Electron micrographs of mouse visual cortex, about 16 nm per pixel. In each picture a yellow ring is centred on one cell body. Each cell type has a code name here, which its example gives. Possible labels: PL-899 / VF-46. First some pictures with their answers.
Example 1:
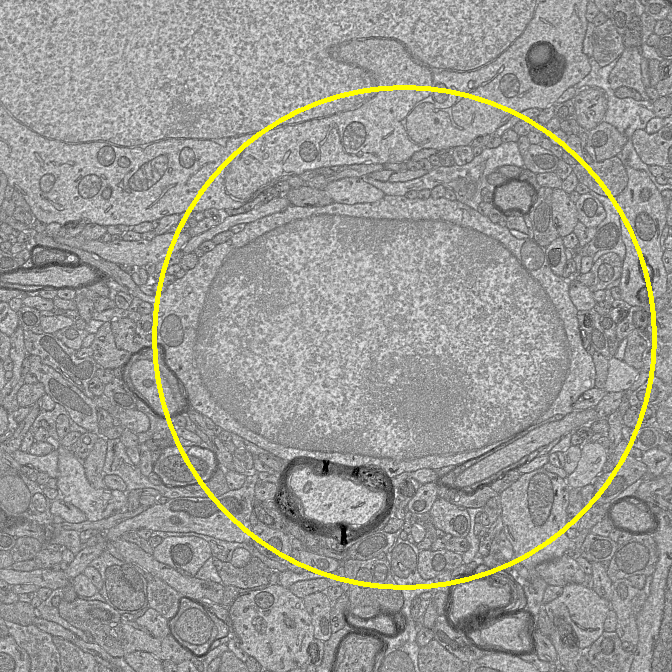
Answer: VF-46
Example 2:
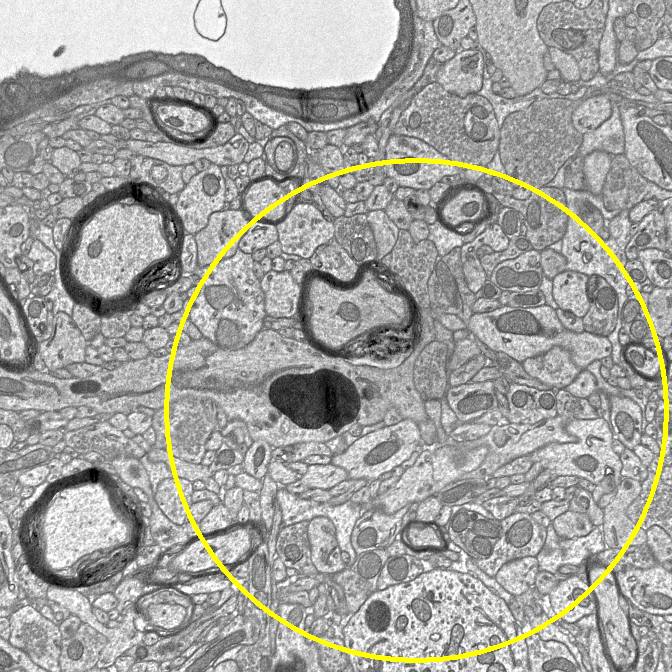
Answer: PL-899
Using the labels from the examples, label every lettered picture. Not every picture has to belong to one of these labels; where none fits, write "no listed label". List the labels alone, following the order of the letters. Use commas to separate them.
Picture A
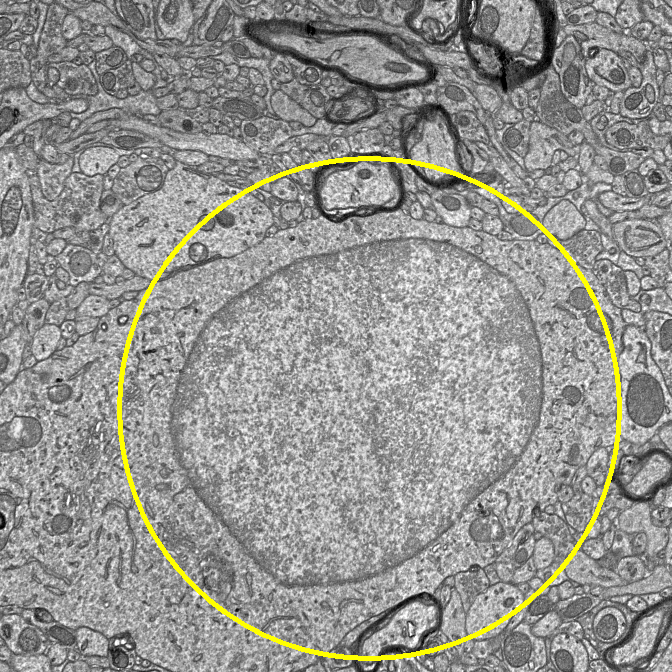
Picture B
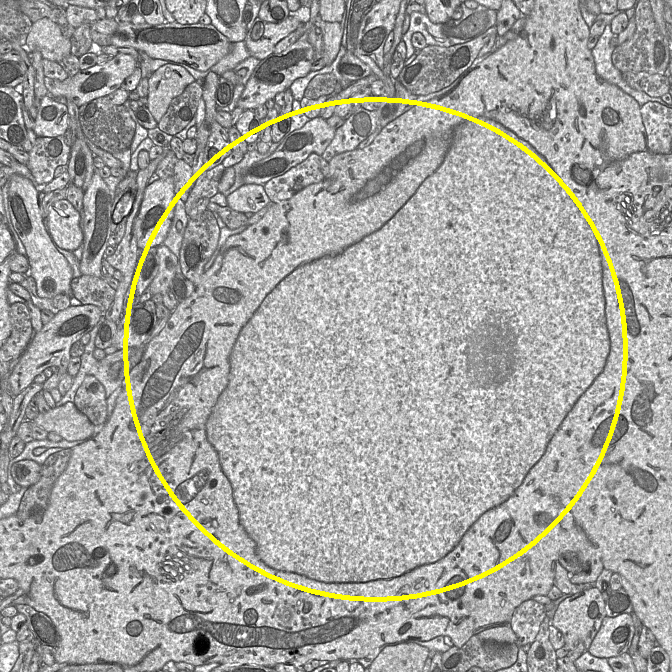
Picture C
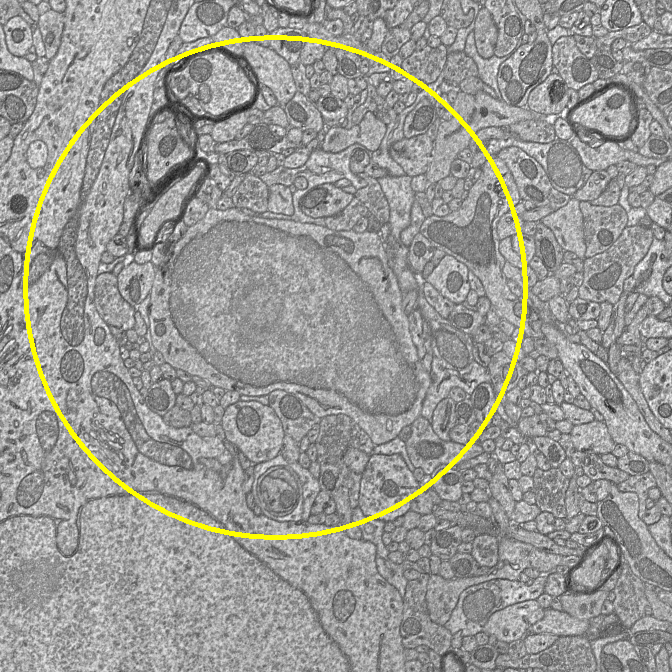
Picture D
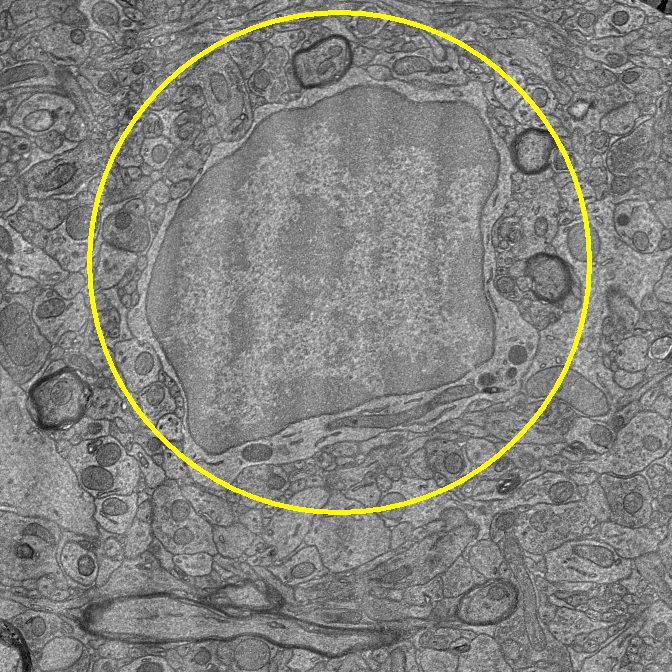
VF-46, no listed label, PL-899, PL-899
